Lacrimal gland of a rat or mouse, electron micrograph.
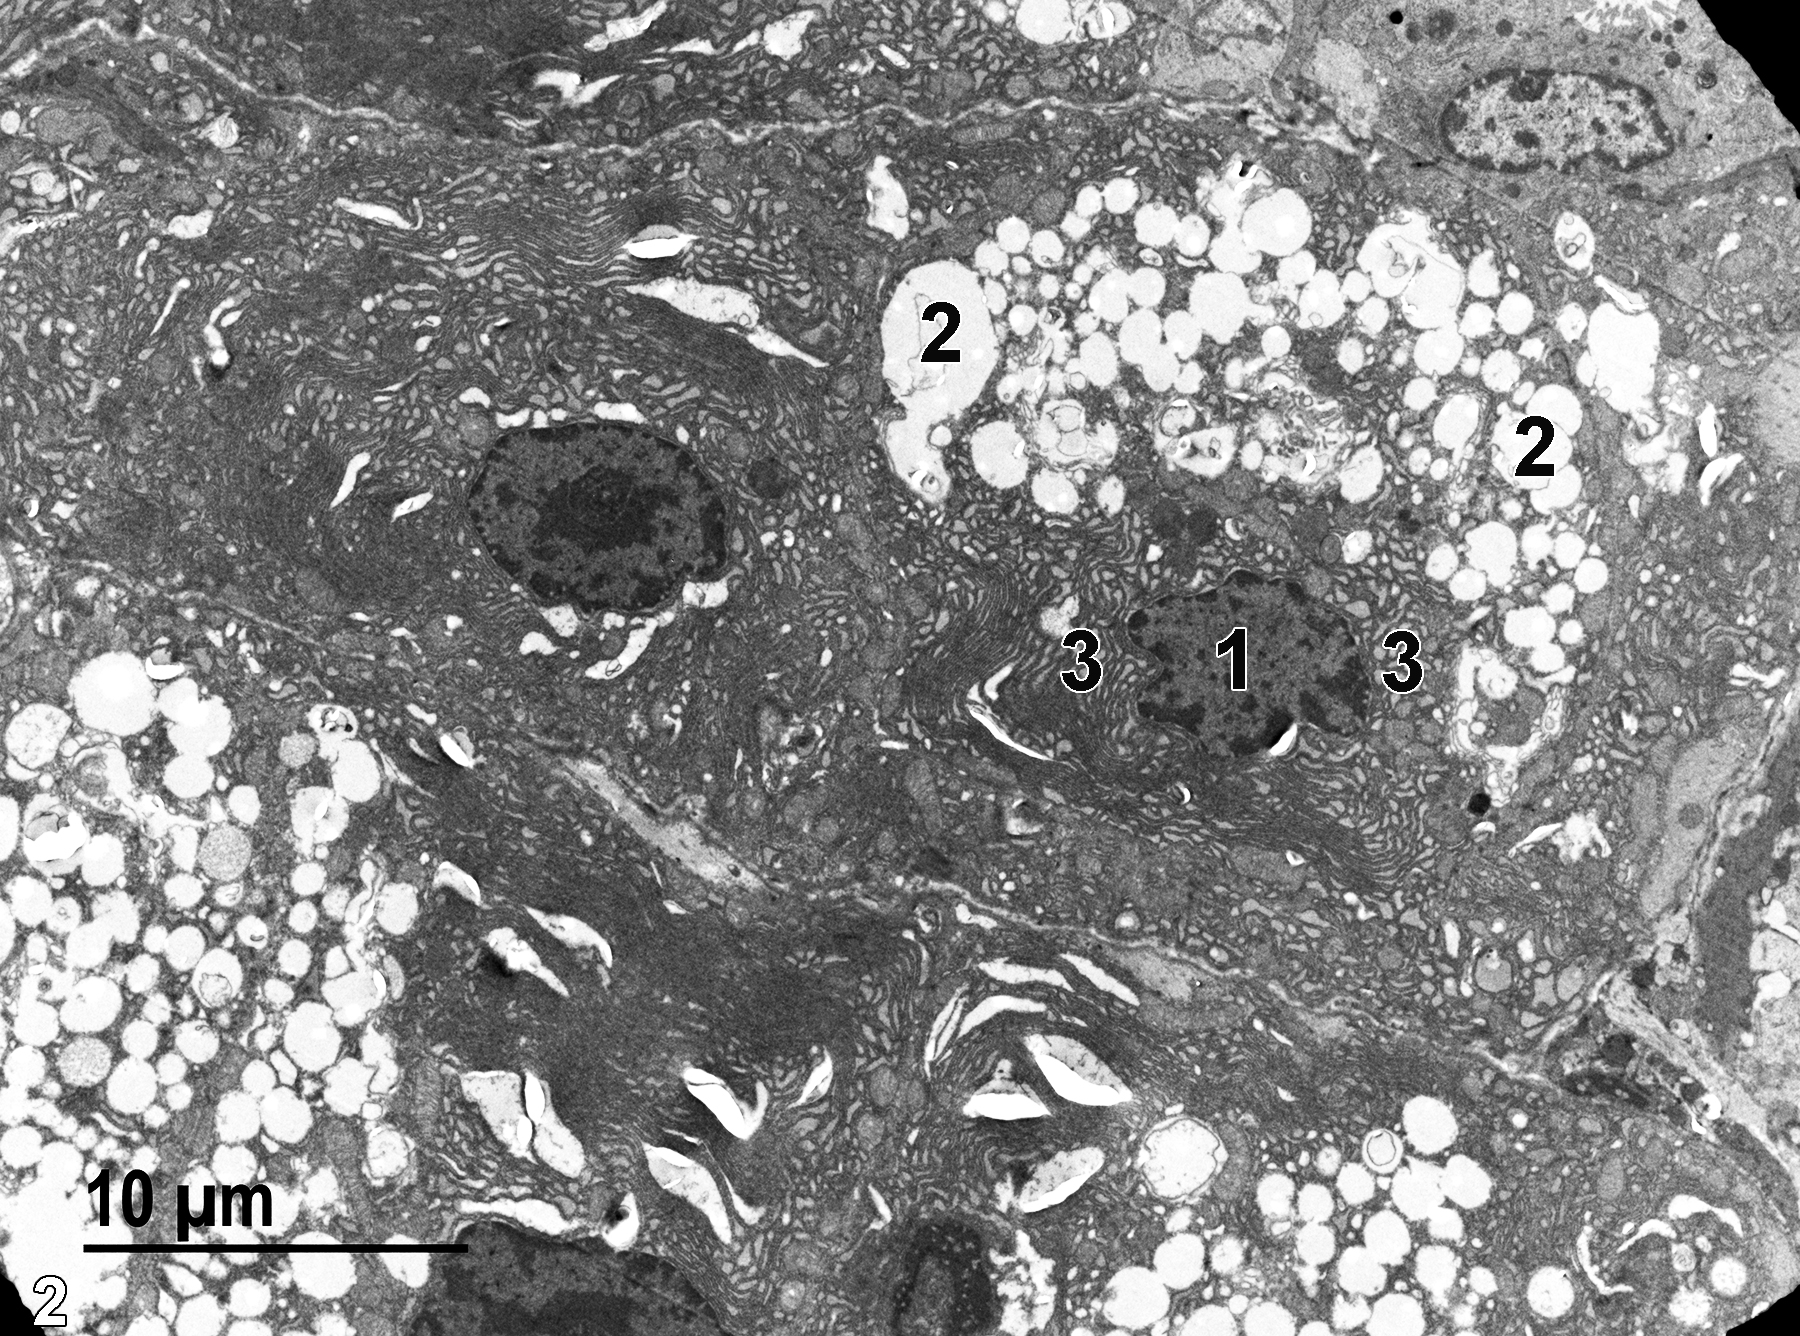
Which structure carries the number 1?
At 1: nucleus of an acinar cell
